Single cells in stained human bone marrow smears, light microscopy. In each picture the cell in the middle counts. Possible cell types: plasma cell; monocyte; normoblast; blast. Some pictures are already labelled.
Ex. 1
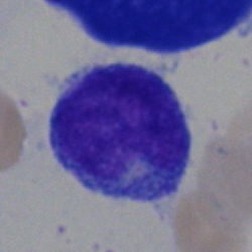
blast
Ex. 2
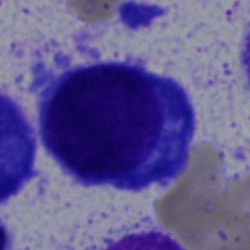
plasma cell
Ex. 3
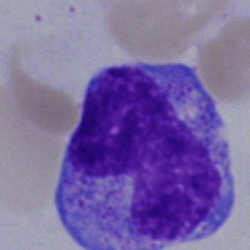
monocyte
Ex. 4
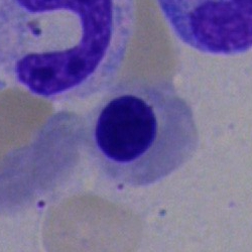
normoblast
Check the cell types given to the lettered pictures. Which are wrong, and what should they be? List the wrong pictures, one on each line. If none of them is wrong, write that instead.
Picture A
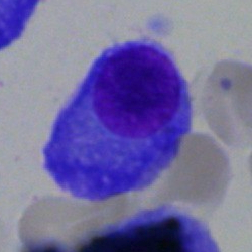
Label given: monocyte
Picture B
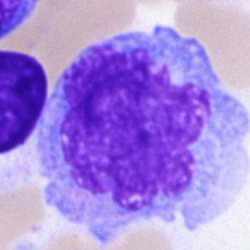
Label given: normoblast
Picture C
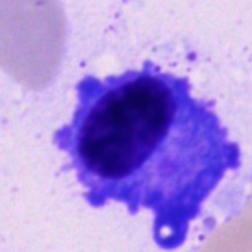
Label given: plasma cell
A is labelled monocyte; correct label: plasma cell
B is labelled normoblast; correct label: monocyte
